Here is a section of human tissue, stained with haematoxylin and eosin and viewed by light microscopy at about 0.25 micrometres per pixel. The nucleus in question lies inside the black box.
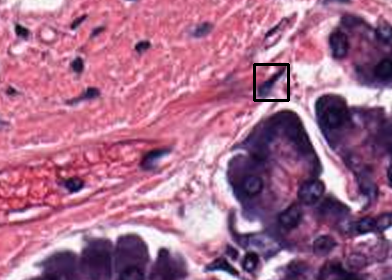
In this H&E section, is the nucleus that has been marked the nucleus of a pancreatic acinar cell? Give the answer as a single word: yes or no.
no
